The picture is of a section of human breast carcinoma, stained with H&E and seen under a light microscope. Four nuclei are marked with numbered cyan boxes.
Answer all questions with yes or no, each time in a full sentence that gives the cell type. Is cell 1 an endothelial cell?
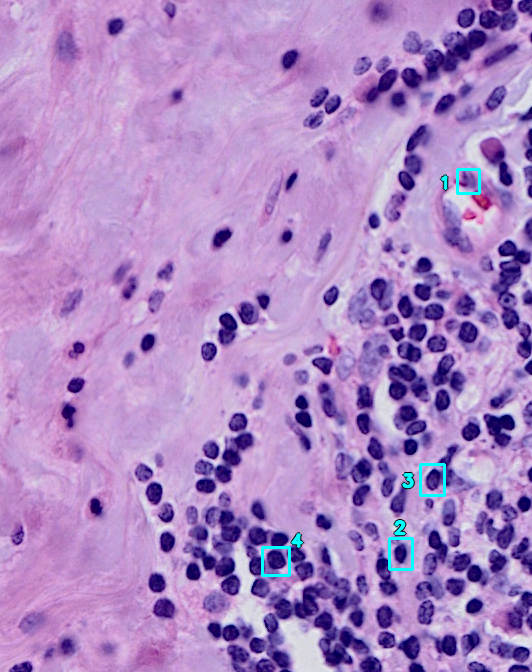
Yes, the cell labelled with number 1 is an endothelial cell.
